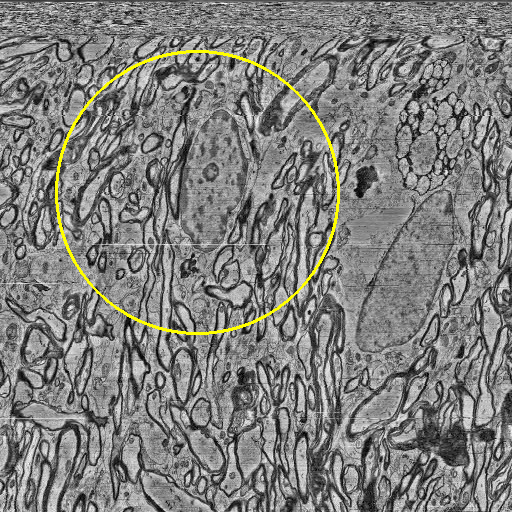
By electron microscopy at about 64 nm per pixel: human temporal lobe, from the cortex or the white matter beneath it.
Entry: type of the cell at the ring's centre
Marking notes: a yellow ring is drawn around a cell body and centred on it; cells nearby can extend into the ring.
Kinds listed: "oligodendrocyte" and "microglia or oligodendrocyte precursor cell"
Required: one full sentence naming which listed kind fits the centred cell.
My entry names a microglial cell or oligodendrocyte precursor cell as the cell whose body the yellow ring centres on.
